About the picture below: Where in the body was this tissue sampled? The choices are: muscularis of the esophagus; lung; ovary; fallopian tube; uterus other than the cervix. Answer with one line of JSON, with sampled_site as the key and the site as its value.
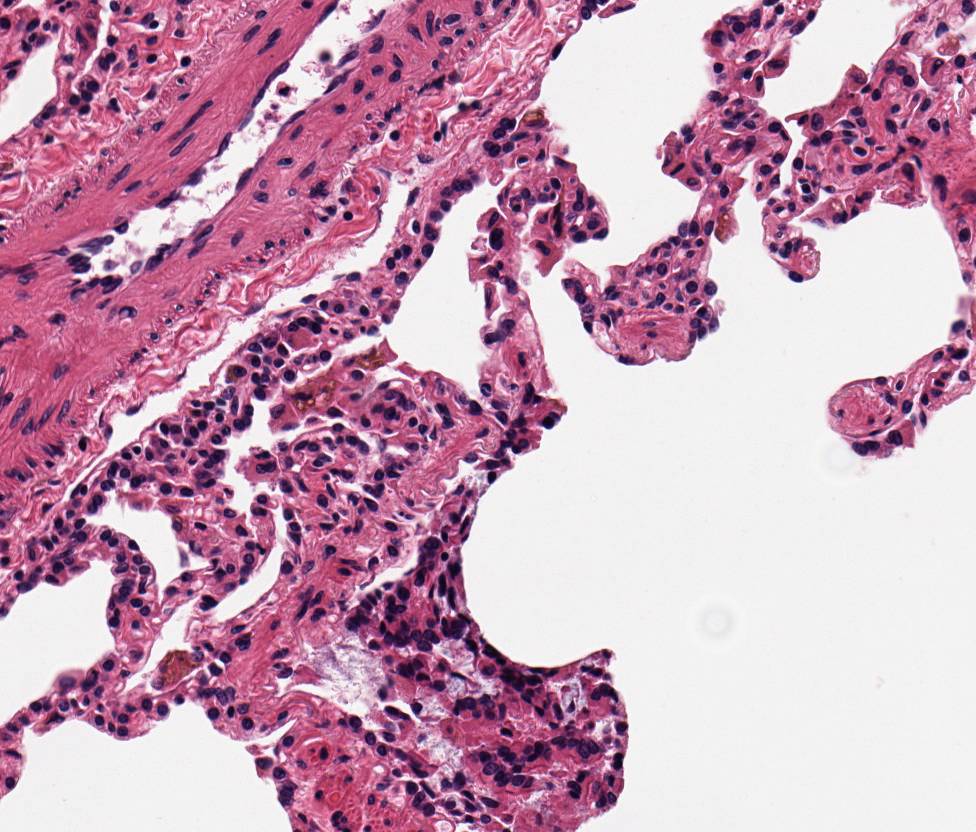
{"sampled_site": "lung"}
